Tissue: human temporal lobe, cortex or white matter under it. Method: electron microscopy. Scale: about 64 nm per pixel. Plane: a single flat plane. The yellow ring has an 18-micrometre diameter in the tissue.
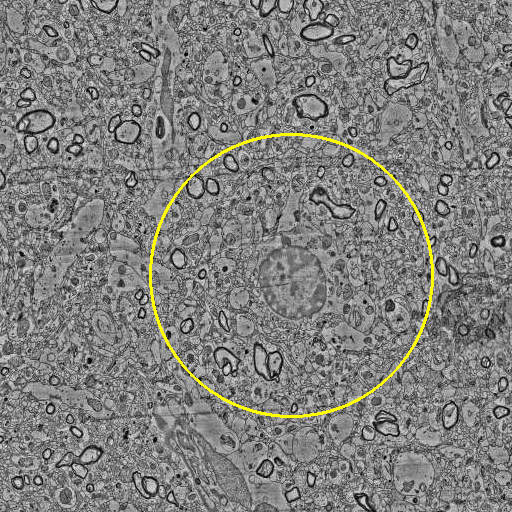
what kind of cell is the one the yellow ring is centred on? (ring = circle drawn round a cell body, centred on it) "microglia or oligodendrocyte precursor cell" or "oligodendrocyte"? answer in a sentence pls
The ring is drawn around an oligodendrocyte.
